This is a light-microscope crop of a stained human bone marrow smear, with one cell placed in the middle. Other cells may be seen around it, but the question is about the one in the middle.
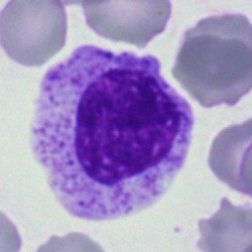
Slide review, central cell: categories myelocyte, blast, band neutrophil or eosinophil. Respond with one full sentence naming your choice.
The central cell shown in this smear crop is a myelocyte.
